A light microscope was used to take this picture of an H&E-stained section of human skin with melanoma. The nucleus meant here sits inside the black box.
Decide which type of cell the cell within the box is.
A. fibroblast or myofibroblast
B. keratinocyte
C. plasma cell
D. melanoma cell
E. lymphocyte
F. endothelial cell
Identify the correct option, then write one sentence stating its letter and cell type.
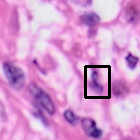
Option A correctly labels the cell within the box as a fibroblast or myofibroblast.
